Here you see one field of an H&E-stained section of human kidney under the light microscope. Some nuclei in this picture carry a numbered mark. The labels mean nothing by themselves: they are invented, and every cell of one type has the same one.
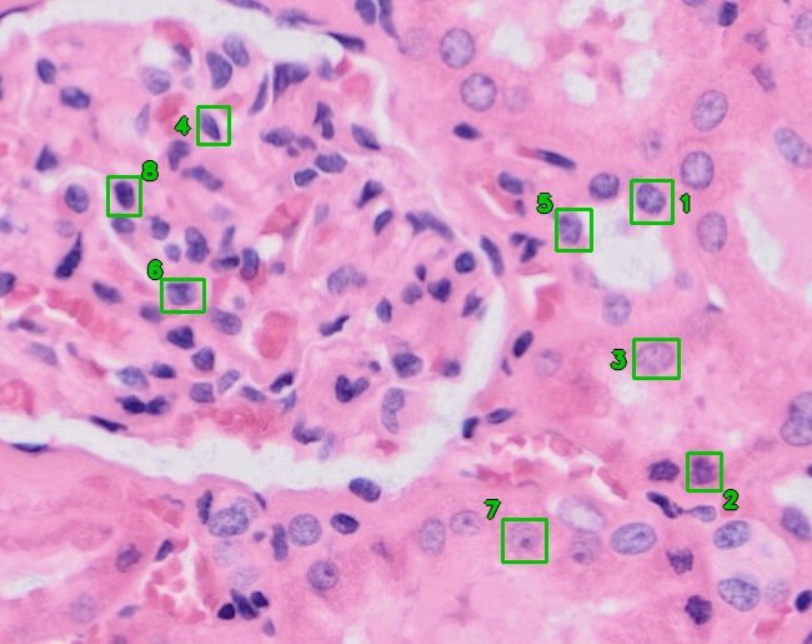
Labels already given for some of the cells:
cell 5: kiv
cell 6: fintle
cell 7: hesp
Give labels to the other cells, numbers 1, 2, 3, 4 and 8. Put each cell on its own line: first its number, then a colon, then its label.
1: kiv
2: hesp
3: hesp
4: fintle
8: fintle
